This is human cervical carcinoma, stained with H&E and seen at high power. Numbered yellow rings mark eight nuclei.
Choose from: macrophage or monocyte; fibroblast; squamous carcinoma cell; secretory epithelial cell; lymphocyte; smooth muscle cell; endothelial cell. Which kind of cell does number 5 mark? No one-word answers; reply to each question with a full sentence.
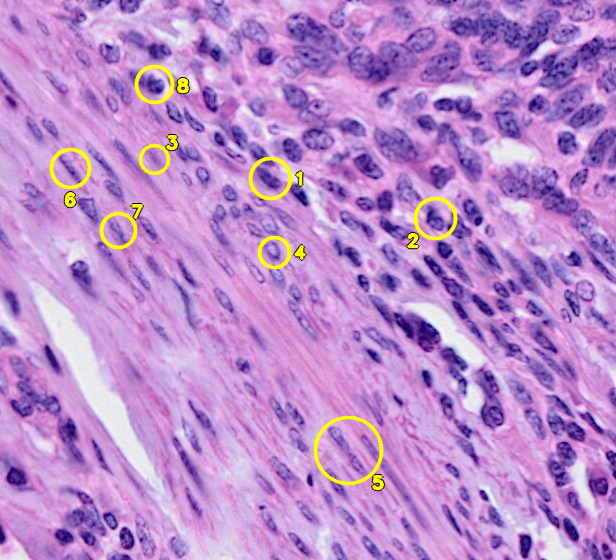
The cell marked with number 5 is a smooth muscle cell.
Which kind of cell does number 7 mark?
The cell indicated with the number 7 is classed as a smooth muscle cell.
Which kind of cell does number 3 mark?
Cell 3, as marked in the section, is a smooth muscle cell.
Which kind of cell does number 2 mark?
Here the cell numbered 2 is a lymphocyte.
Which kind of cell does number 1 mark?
The cell that is numbered 1 is a lymphocyte.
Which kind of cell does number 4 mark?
To a smooth muscle cell belongs the nucleus marked 4.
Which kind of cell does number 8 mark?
The numeral 8 marks a lymphocyte in this section.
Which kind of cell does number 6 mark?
The cell numbered 6 has been identified as a smooth muscle cell.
